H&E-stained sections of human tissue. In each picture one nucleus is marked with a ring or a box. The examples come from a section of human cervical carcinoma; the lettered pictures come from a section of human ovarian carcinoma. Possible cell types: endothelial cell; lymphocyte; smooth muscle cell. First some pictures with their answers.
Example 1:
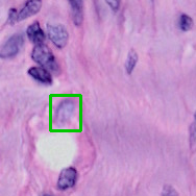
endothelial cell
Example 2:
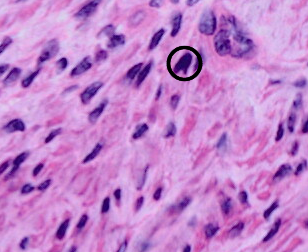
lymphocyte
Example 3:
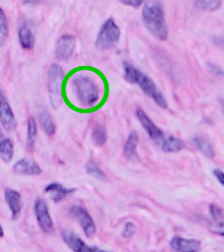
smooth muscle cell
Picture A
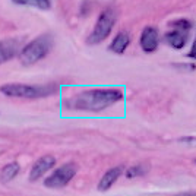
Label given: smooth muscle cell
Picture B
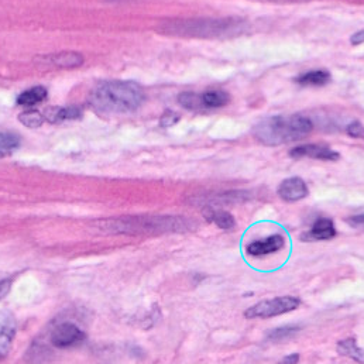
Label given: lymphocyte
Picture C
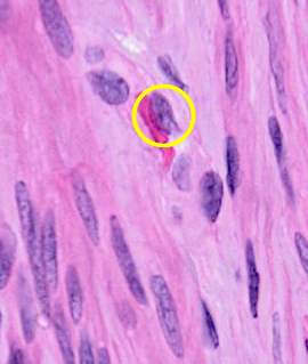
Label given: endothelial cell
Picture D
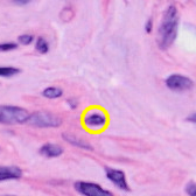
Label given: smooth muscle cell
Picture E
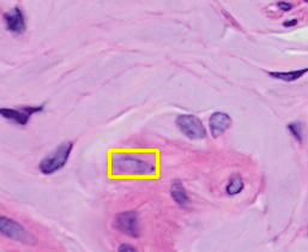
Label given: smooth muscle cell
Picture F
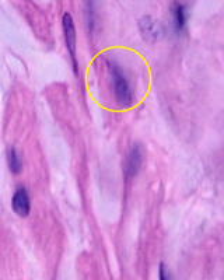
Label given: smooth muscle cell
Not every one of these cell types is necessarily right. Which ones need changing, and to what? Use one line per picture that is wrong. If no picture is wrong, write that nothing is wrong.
All correct.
